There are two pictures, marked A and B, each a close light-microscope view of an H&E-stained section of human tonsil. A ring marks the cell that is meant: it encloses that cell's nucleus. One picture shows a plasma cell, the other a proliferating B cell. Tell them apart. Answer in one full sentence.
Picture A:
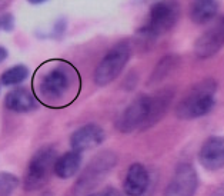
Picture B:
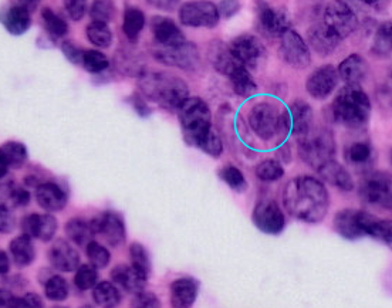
Picture A is of a plasma cell, and picture B is of a proliferating B cell.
